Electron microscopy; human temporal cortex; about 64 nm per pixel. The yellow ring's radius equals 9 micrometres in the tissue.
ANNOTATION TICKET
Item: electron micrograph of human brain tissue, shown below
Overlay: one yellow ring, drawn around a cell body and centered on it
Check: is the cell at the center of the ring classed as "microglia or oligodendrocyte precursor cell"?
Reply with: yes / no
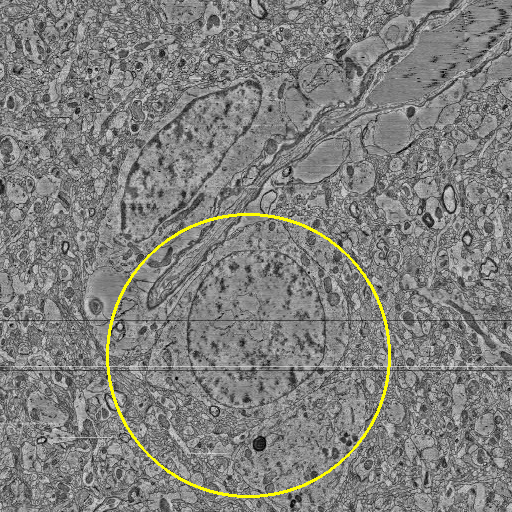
no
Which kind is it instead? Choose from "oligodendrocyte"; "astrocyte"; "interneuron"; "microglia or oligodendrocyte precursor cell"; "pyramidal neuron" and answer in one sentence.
This picture has a pyramidal neuron at the centre of its ring.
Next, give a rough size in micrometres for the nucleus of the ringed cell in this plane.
The ringed cell's nucleus measures approximately 11 by 9 micrometres in this plane.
